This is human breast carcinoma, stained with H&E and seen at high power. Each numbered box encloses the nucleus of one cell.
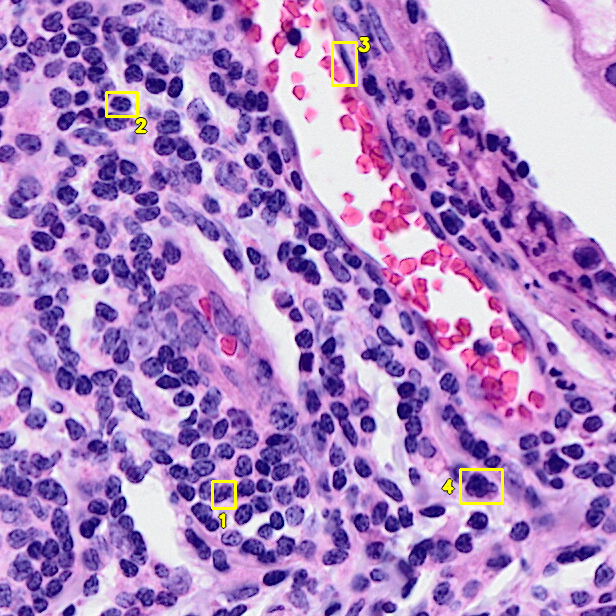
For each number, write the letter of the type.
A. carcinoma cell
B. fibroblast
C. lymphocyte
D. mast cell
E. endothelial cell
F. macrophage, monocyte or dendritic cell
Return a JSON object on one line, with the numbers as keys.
{"1": "C", "2": "C", "3": "E", "4": "C"}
